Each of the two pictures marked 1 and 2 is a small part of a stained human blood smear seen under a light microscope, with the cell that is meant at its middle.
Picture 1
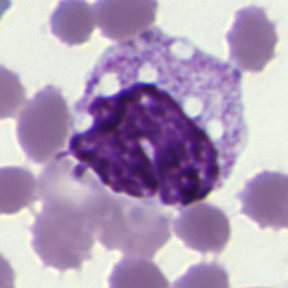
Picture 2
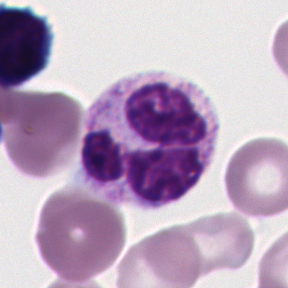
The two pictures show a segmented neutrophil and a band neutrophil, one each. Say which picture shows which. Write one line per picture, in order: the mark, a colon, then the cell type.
1: band neutrophil
2: segmented neutrophil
